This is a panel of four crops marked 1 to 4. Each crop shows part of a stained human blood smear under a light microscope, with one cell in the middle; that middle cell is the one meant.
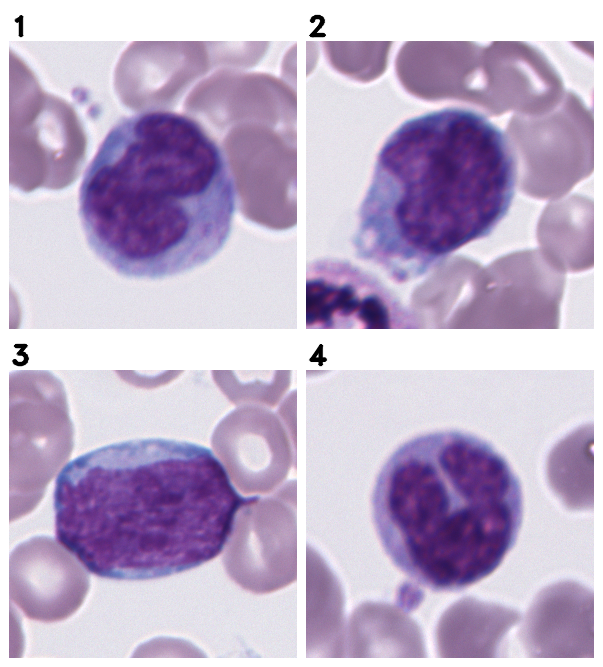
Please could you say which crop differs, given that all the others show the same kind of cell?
3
